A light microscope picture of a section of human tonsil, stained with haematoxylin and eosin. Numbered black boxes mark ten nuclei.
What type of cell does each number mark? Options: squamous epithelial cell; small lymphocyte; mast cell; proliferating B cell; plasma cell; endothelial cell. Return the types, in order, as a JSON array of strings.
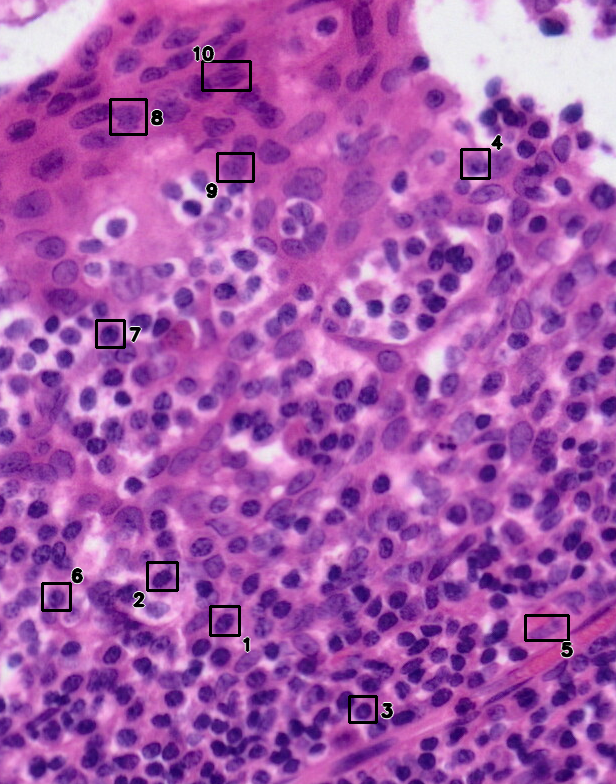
["plasma cell", "plasma cell", "plasma cell", "squamous epithelial cell", "endothelial cell", "plasma cell", "plasma cell", "squamous epithelial cell", "squamous epithelial cell", "squamous epithelial cell"]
